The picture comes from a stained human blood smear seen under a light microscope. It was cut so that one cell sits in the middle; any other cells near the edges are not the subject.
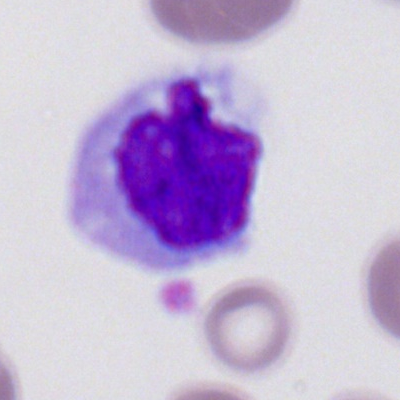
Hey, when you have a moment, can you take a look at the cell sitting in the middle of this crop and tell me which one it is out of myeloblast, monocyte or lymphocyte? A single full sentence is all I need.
The cell occupying the middle of the crop is a monocyte.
